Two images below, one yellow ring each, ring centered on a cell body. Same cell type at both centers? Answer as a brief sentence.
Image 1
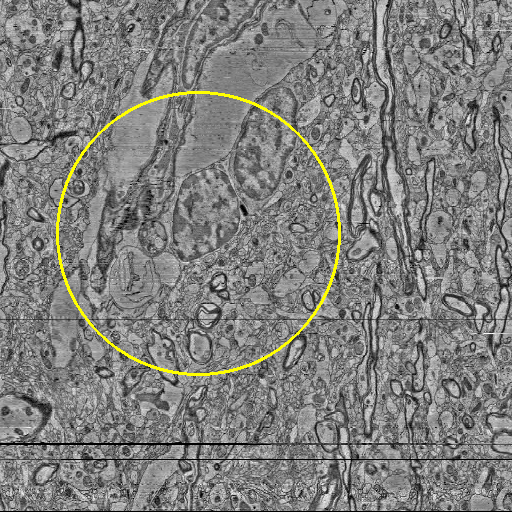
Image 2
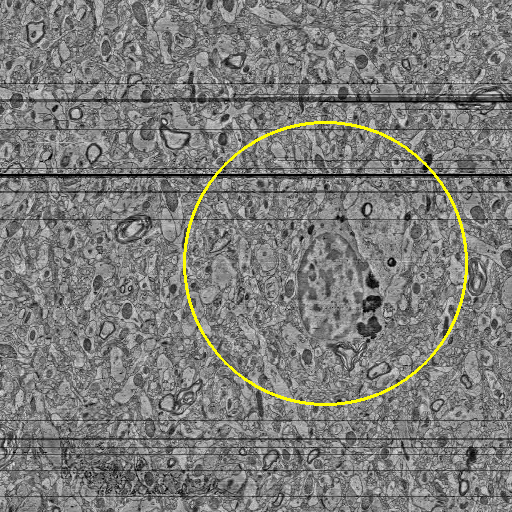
No, the cells are of two separate types.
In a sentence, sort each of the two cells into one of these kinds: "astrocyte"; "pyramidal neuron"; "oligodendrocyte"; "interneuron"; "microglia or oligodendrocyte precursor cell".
The first of the two cells is a microglial cell or oligodendrocyte precursor cell, and the second is an oligodendrocyte.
